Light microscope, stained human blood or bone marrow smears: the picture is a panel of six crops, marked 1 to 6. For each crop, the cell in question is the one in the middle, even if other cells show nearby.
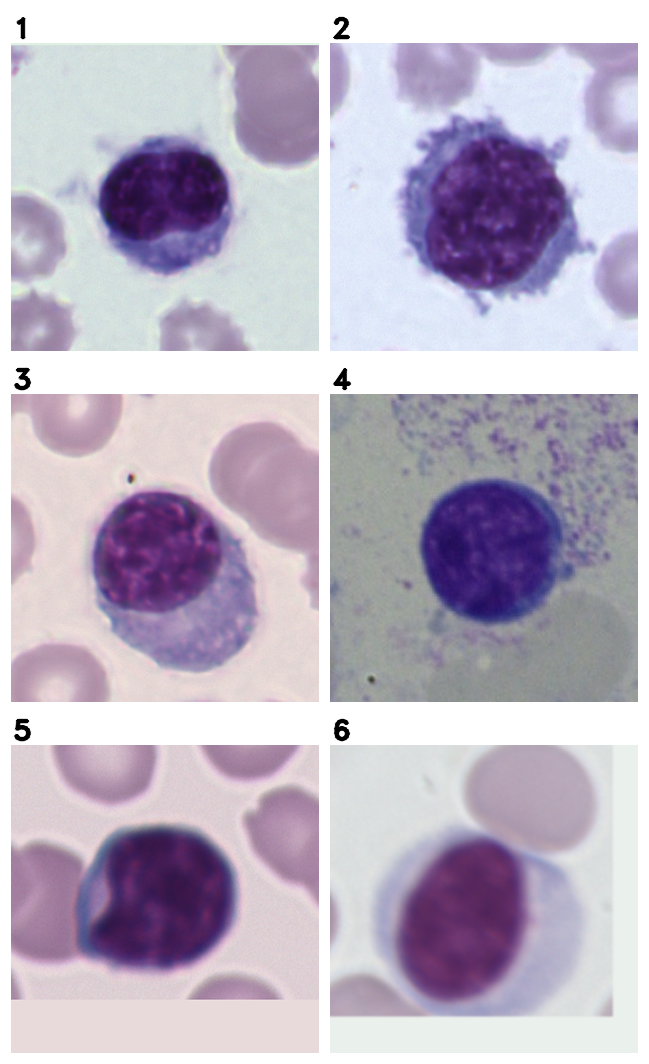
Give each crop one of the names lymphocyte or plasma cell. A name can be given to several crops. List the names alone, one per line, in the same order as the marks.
plasma cell
plasma cell
plasma cell
lymphocyte
lymphocyte
lymphocyte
